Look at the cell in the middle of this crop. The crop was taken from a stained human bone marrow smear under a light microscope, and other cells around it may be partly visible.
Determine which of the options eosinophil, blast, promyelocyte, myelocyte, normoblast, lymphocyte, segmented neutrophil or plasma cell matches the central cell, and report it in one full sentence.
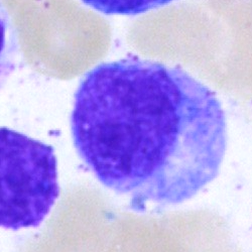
The cell under consideration, at the middle of the crop, is a myelocyte.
